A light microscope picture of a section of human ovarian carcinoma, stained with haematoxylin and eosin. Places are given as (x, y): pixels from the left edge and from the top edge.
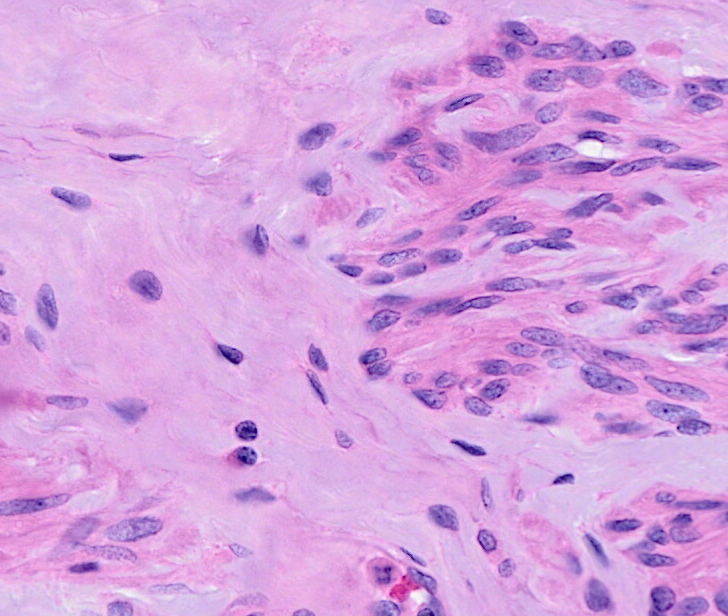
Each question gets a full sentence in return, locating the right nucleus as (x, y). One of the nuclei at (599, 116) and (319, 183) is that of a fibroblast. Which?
The nucleus at (319, 183) is the member of the pair belonging to a fibroblast.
